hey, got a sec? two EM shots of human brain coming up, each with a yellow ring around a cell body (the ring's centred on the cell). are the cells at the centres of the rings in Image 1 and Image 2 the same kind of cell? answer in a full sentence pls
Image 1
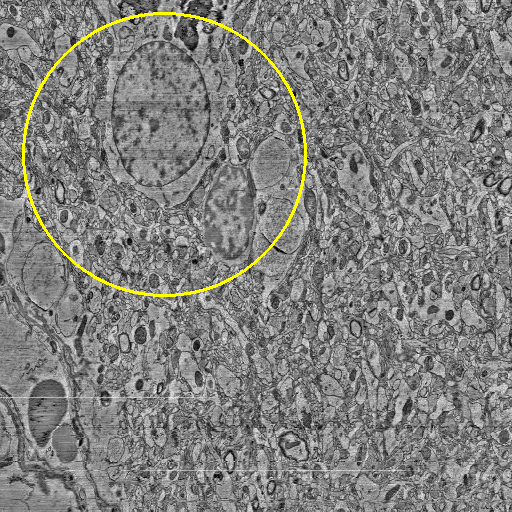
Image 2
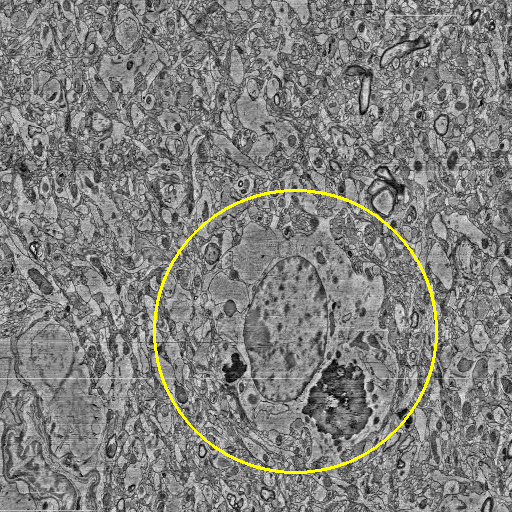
Yes, both are the same kind of cell.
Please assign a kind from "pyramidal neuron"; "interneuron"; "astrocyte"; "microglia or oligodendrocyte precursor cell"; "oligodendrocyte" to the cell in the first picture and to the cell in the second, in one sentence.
The cell at the ring centre is an astrocyte in both pictures.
